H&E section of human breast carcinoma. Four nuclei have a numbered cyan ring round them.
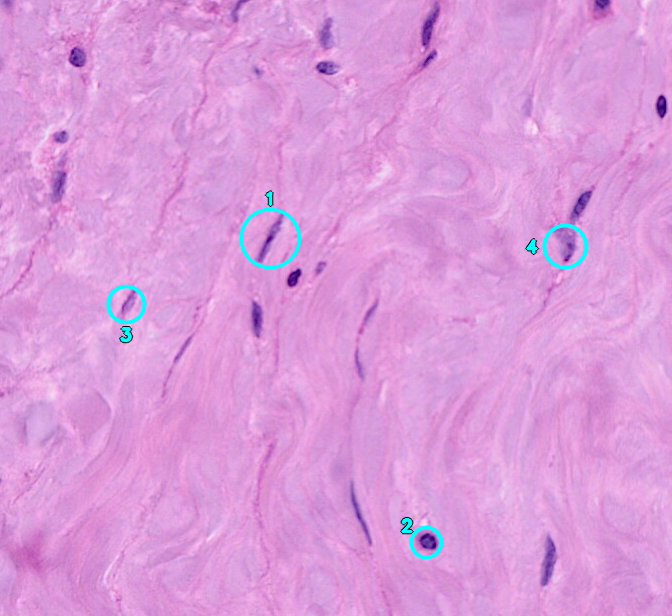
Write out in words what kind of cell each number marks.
Cells 1, 3 and 4 are fibroblasts. Cell 2 is a mast cell.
